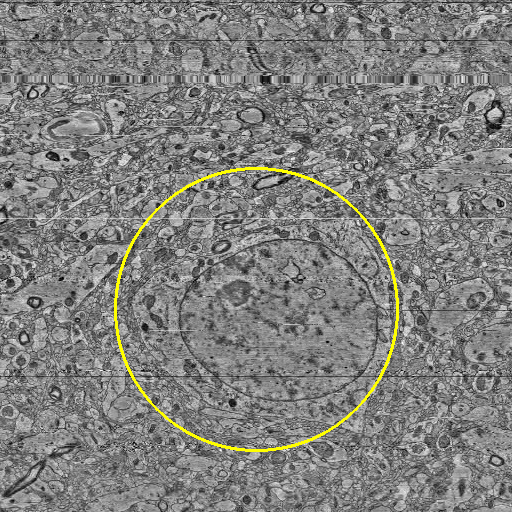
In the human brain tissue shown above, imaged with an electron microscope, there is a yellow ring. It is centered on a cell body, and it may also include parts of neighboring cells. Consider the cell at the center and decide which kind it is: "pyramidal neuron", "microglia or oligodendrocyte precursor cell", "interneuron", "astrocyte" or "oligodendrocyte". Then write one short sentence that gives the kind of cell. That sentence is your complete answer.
This centered cell body is that of a pyramidal neuron.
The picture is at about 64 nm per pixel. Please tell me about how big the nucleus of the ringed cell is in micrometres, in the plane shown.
Roughly 13 by 11 micrometres in this plane, for the nucleus of the ringed cell.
